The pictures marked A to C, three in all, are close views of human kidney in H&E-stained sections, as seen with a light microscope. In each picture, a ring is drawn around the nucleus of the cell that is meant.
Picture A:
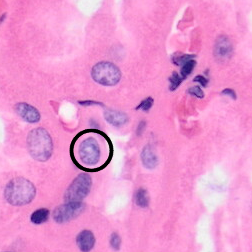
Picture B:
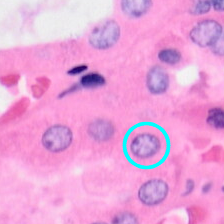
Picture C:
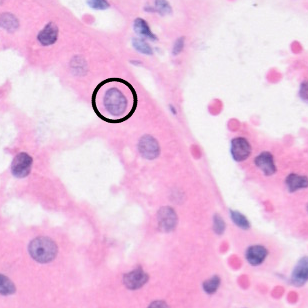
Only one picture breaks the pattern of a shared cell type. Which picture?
A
